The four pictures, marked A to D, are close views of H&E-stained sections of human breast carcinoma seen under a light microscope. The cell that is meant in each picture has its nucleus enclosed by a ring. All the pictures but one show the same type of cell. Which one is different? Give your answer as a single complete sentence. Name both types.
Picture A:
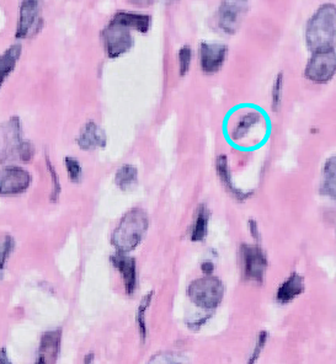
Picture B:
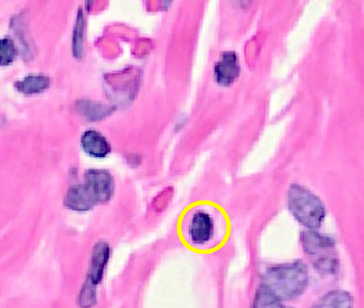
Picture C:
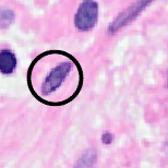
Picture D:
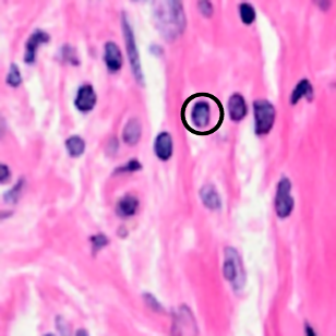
The others show lymphocytes, but picture A shows an endothelial cell.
